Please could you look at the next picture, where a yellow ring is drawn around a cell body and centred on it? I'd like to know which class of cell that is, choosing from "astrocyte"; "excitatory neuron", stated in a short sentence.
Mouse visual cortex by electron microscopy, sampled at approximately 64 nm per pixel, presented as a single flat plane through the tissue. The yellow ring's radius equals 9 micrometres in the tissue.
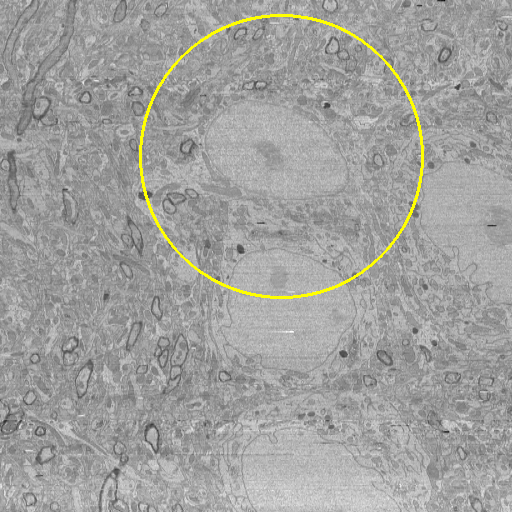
The ring's centre lies on an astrocyte.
